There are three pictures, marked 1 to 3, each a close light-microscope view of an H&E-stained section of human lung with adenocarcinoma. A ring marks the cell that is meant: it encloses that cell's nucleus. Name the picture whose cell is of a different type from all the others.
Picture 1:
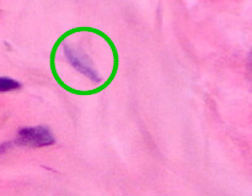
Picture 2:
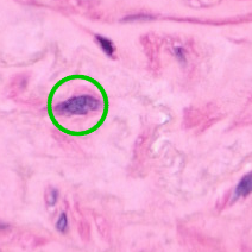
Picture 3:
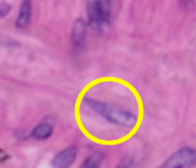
1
